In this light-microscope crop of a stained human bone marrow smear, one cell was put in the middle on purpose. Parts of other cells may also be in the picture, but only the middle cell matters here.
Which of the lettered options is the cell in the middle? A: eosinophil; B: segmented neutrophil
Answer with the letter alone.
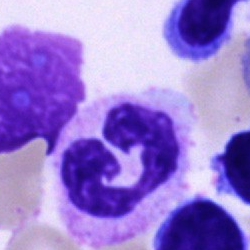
B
